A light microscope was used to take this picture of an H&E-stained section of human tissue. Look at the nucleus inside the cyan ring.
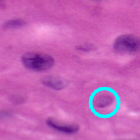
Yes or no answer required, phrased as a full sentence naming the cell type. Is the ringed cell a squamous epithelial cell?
Yes, the description of the ringed cell as a squamous epithelial cell is accurate.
